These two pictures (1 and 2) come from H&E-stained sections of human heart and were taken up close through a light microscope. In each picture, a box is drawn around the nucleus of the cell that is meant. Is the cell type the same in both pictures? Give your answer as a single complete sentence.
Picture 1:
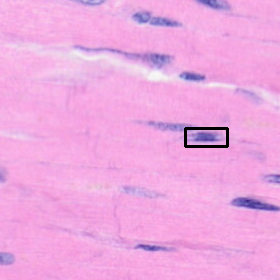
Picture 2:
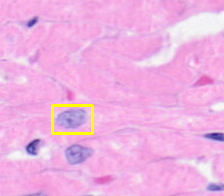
No, picture 1 shows an endothelial cell and picture 2 shows a cardiomyocyte.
